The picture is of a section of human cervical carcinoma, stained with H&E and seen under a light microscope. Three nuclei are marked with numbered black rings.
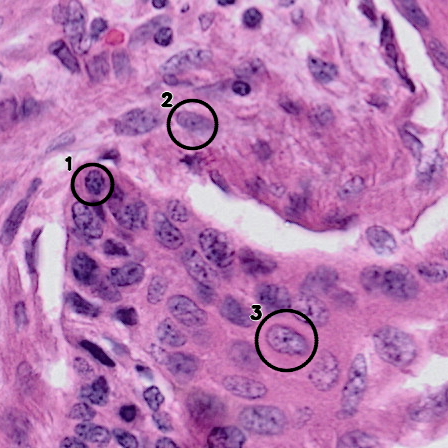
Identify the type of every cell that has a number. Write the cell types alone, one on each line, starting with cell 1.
squamous carcinoma cell
fibroblast
squamous carcinoma cell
